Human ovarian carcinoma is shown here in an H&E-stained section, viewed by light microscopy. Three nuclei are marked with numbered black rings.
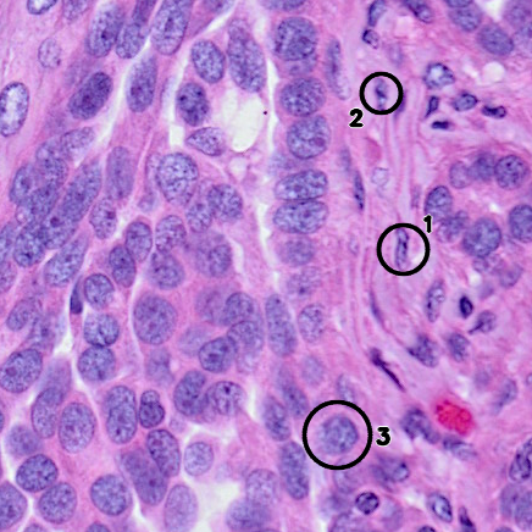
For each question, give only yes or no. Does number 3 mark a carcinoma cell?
yes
